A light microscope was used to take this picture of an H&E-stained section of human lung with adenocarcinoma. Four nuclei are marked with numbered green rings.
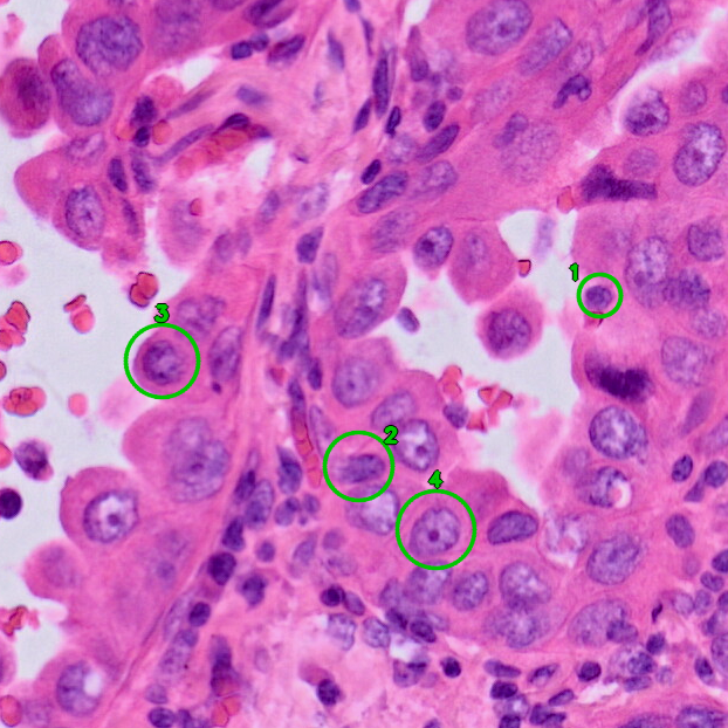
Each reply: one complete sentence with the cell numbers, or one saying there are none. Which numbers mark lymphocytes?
Mind that only cell 1 is a lymphocyte, none of the rest.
